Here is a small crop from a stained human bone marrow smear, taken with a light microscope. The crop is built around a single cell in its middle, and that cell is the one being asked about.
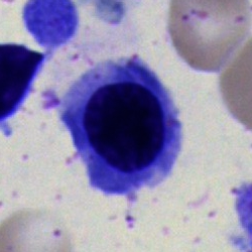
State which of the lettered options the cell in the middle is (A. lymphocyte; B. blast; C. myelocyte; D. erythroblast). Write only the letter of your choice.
D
